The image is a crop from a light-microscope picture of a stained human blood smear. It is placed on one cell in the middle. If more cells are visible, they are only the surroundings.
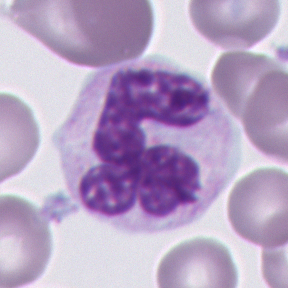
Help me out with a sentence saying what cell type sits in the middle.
The cell nearest the centre of this crop is a segmented neutrophil.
